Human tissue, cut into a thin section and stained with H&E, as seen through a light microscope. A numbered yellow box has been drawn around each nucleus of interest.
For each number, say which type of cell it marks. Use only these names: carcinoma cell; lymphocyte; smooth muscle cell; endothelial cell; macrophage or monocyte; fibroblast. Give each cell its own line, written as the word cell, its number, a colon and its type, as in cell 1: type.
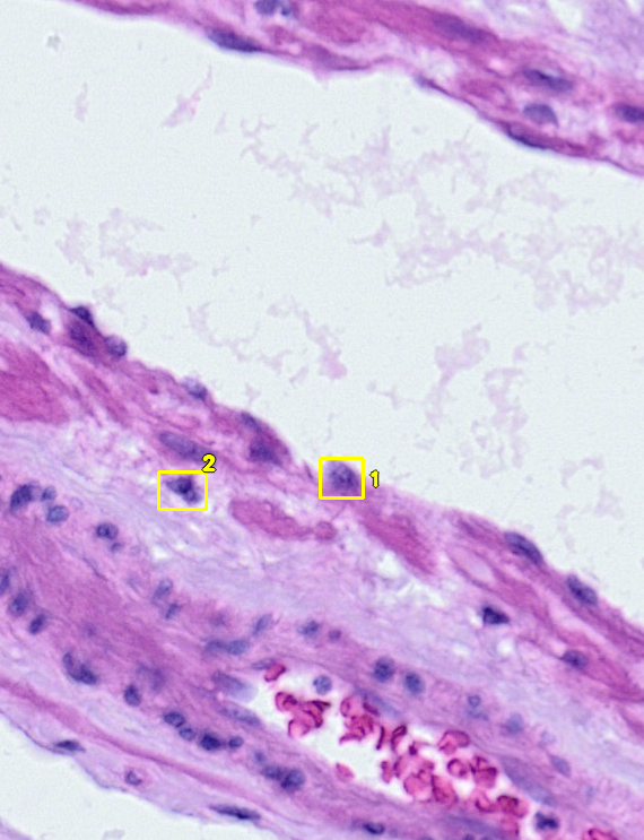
cell 1: endothelial cell
cell 2: macrophage or monocyte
